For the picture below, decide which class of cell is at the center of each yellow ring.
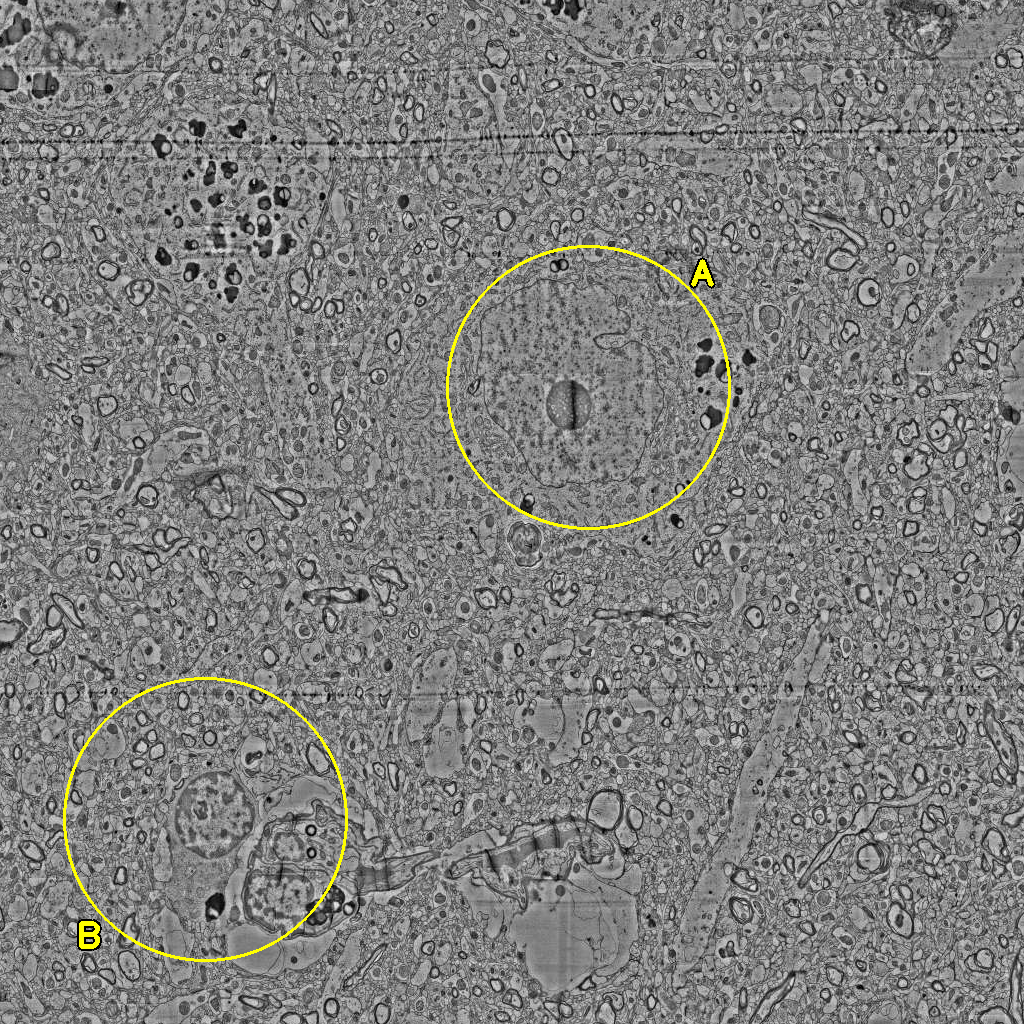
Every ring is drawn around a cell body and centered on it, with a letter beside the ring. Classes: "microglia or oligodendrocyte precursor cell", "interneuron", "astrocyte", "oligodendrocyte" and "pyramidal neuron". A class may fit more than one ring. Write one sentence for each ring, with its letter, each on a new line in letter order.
Centered in ring A is a pyramidal neuron.
Centered in ring B is an oligodendrocyte.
